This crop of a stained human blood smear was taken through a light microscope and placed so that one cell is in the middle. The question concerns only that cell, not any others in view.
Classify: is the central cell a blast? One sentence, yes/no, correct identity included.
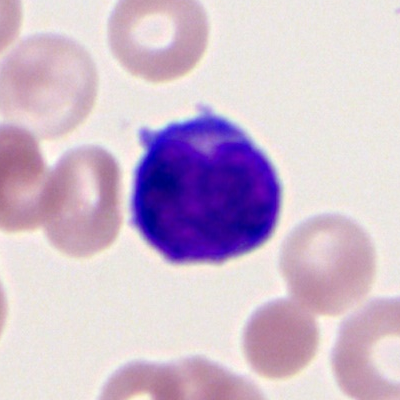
Yes, a blast occupies the middle of the crop.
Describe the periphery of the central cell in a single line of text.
The cell margin is rough and uneven, either ragged or drawn into projections.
